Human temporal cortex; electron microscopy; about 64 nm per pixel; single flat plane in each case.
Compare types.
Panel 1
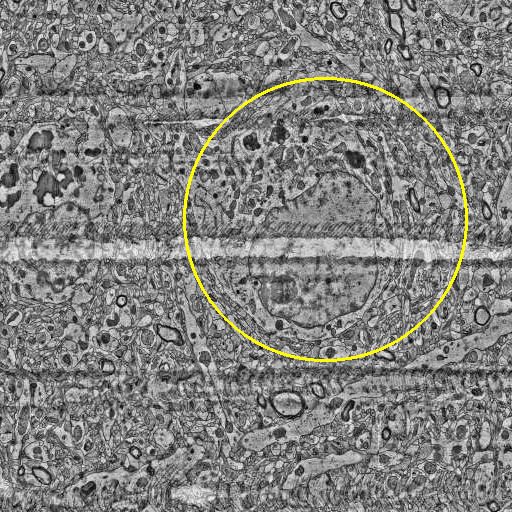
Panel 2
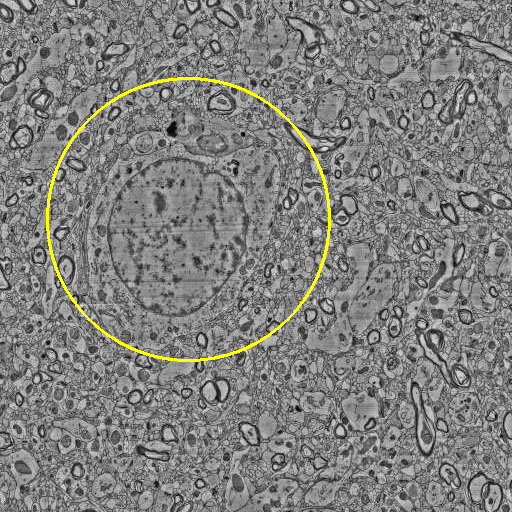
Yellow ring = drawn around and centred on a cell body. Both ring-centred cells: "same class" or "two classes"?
same class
